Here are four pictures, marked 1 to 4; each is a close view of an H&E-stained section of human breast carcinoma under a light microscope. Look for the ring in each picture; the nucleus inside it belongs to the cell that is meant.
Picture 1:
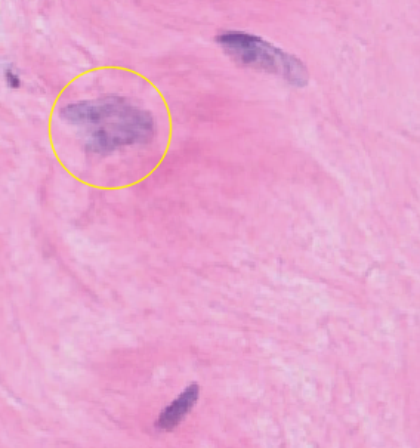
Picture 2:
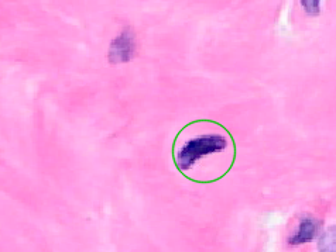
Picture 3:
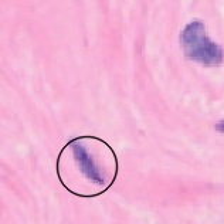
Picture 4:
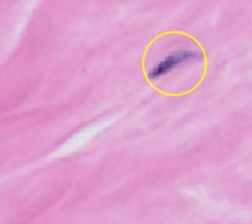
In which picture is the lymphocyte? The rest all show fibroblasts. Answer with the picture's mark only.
2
